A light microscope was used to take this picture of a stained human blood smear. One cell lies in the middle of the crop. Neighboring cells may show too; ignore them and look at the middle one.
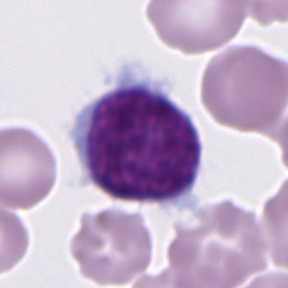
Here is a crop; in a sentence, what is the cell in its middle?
The cell at the central position in this crop is a hairy cell.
